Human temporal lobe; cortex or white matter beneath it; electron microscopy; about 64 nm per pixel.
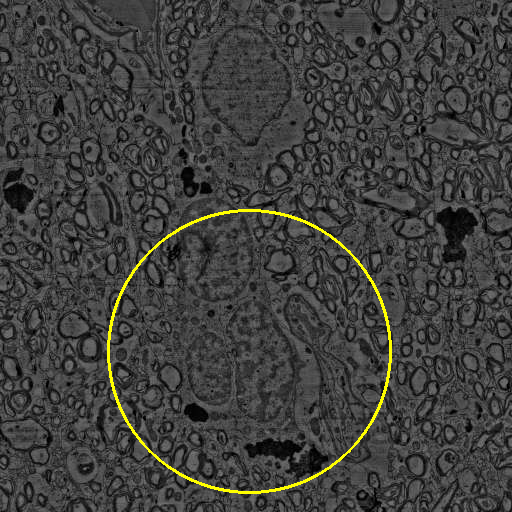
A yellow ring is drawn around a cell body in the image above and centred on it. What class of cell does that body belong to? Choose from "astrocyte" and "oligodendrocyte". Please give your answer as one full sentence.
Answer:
The yellow ring above is centred on the cell body of an oligodendrocyte.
